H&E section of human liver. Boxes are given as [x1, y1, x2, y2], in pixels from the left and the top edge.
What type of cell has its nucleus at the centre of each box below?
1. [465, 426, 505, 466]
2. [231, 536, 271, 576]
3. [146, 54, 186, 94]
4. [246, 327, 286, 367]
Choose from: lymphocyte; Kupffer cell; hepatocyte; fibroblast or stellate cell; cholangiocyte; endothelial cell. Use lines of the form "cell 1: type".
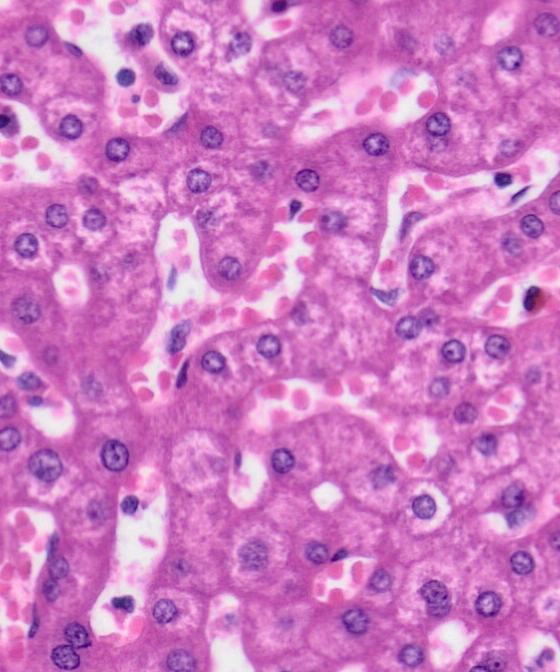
cell 1: hepatocyte
cell 2: hepatocyte
cell 3: Kupffer cell
cell 4: hepatocyte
